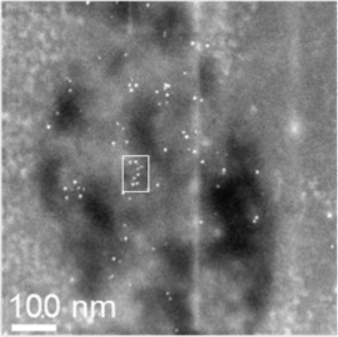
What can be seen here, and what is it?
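A grey, granular field with several darker, cloudy patches and faint vertical streaks. Scattered across the central area are many very small, bright, round dots, each only a few nanometres wide, some isolated and some in loose groups; a small white rectangle frames one such group. The dots are sharply defined against the softer background texture.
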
